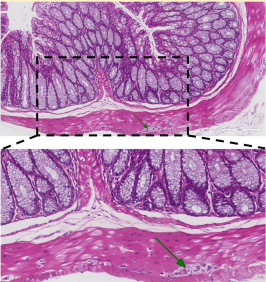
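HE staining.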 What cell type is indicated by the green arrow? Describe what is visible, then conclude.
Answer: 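Ganglion cell. The green arrow points into the muscular wall beneath the mucosa. It marks a small group of cells with paler, larger nuclei lying between pink muscle layers.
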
